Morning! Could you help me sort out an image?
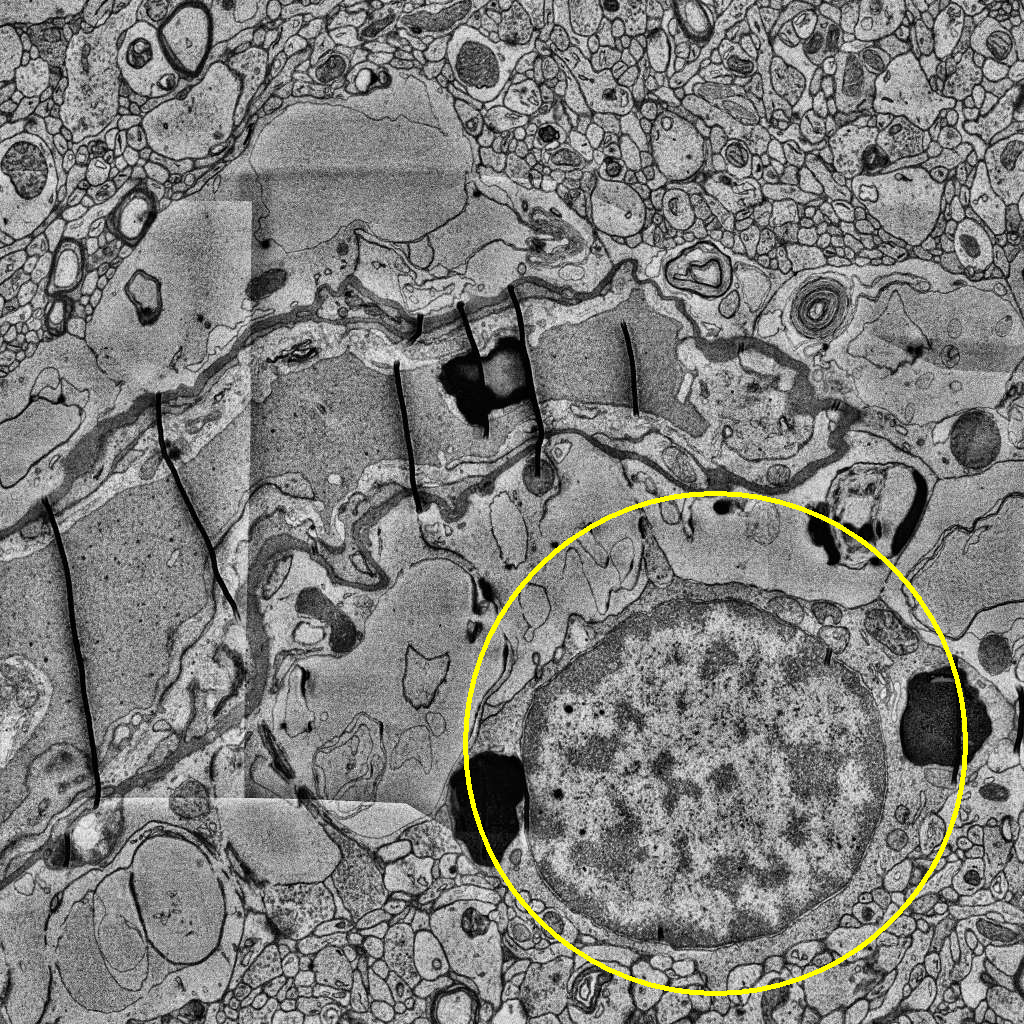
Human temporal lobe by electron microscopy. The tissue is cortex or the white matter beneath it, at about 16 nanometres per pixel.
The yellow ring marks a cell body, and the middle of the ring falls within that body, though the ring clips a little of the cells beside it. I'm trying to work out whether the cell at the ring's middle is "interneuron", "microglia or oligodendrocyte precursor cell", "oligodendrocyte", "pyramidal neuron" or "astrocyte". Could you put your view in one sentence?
The cell body at the ring's middle is that of an oligodendrocyte.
